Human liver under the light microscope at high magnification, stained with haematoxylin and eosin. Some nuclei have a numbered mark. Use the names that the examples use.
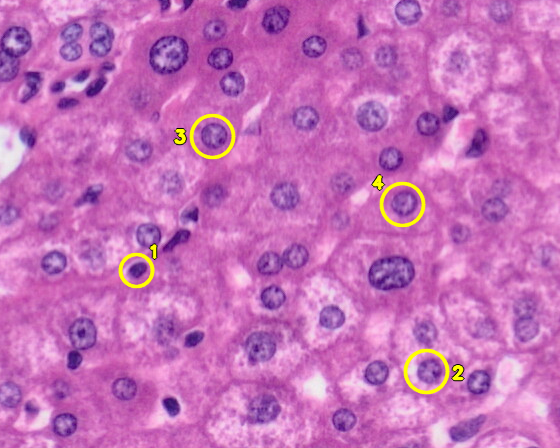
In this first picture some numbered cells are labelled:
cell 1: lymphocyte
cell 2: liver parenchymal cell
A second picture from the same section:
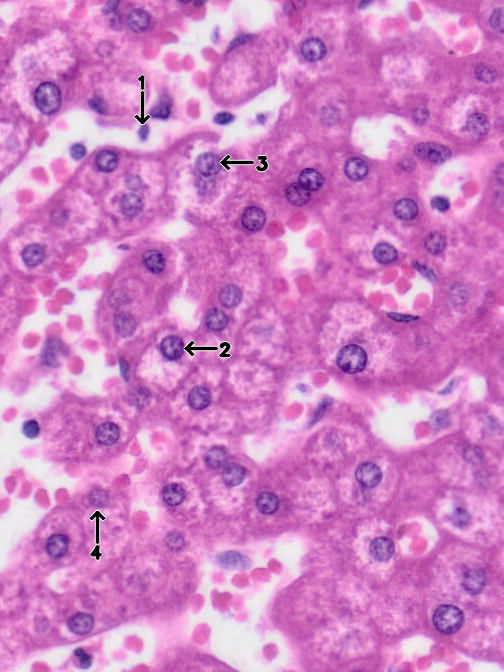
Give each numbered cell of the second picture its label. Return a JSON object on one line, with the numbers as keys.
{"1": "lymphocyte", "2": "liver parenchymal cell", "3": "liver parenchymal cell", "4": "liver parenchymal cell"}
